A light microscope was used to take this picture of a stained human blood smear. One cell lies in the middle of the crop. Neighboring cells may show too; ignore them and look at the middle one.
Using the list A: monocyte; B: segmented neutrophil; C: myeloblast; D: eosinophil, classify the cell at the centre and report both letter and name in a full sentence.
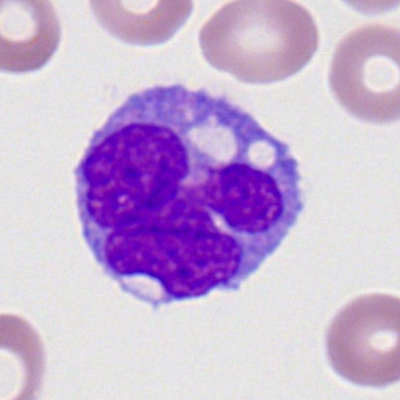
Well, the cell in the middle is a monocyte, making option A right.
